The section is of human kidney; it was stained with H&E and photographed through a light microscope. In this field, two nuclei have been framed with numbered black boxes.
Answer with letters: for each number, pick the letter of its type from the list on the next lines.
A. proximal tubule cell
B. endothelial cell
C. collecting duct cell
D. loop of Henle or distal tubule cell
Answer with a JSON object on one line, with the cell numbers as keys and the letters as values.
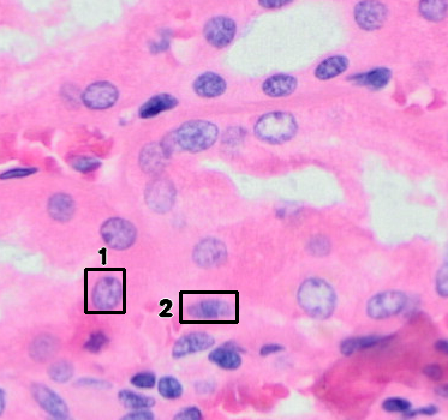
{"1": "A", "2": "B"}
